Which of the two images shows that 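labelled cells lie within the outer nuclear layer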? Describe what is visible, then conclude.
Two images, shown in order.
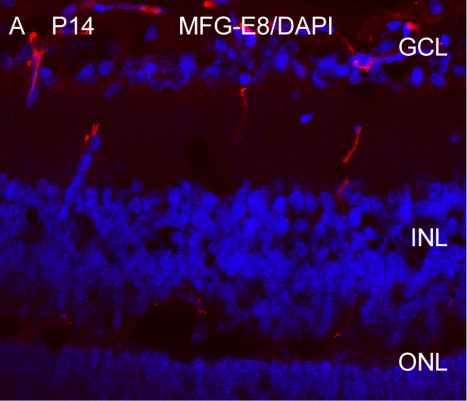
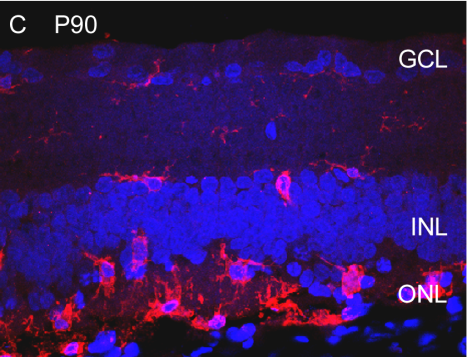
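The second image. Second image: several red, branched cells sit among the nuclei of the outer nuclear layer. First image: red cells are near the innermost layer and the outer nuclear layer has no red cells.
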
